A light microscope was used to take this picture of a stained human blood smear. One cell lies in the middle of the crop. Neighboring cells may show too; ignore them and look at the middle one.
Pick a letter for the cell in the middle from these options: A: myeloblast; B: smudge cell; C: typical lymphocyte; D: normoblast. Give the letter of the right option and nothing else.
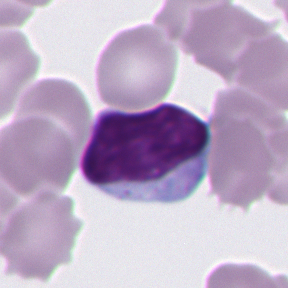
C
